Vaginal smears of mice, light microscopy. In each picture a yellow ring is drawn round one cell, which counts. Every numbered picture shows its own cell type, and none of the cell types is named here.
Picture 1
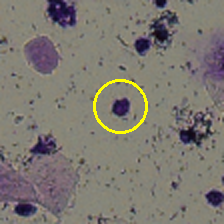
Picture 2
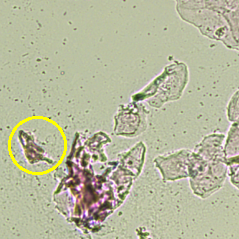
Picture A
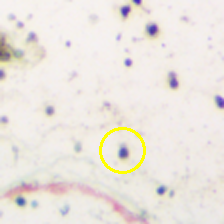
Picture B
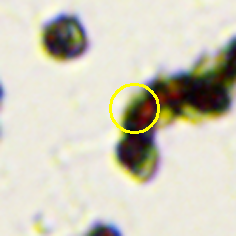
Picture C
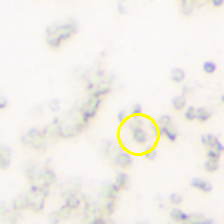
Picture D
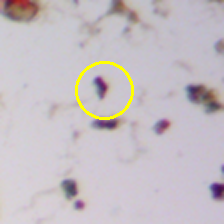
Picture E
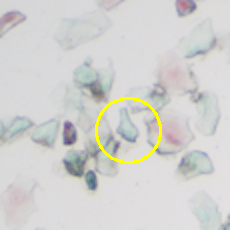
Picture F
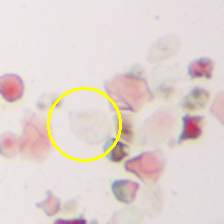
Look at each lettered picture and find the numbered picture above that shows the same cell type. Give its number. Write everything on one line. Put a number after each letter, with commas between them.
A 1, B 1, C 1, D 1, E 2, F 2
